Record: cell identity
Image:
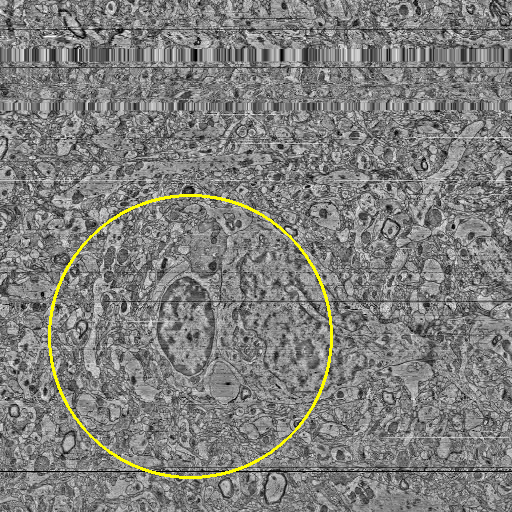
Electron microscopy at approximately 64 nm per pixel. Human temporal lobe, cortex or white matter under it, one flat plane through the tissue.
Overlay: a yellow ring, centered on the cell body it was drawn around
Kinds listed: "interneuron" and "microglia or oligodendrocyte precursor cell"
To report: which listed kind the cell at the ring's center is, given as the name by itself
microglia or oligodendrocyte precursor cell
